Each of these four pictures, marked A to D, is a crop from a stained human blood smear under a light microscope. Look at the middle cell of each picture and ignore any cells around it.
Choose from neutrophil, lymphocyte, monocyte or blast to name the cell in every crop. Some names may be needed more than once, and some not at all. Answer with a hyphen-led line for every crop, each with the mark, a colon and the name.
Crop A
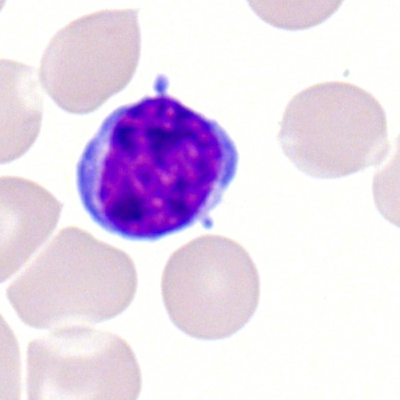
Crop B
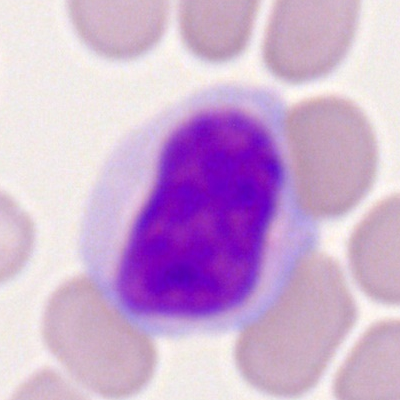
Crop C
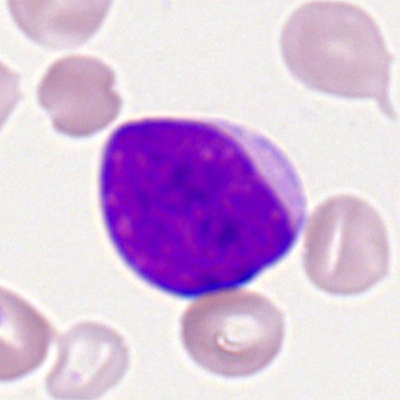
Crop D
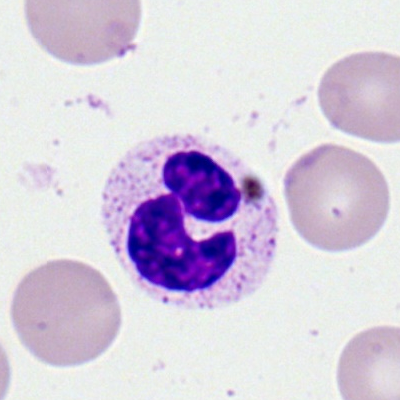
- A: lymphocyte
- B: lymphocyte
- C: blast
- D: neutrophil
